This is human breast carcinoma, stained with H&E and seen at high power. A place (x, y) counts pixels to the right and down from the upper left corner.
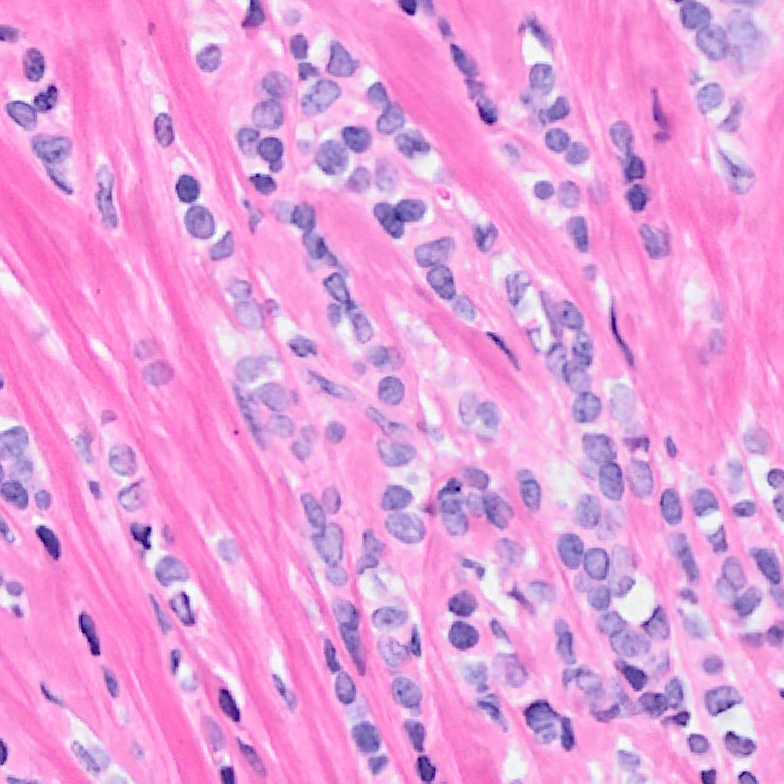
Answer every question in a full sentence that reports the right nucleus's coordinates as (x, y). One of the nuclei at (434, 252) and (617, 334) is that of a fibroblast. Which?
Only the nucleus at (617, 334), of the two, belongs to a fibroblast.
